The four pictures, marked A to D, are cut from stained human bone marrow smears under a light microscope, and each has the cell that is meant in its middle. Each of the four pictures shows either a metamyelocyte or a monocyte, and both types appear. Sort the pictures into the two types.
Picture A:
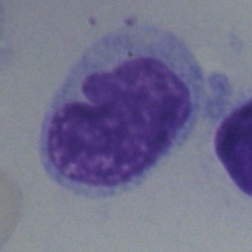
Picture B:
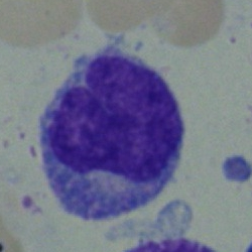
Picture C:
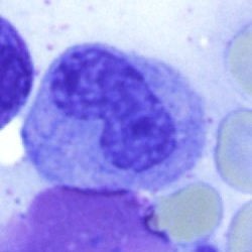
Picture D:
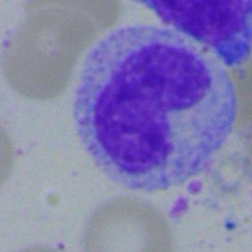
A: monocyte
B: monocyte
C: metamyelocyte
D: metamyelocyte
